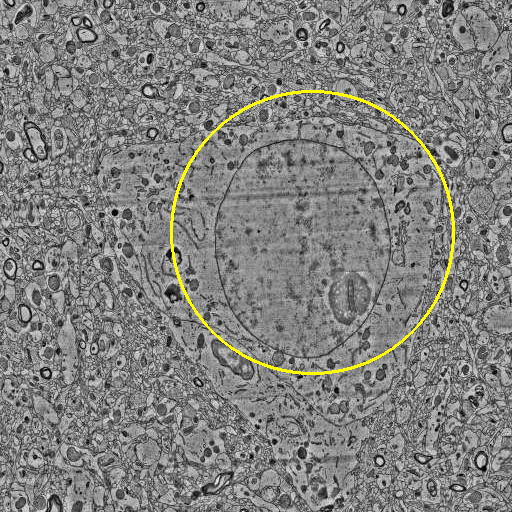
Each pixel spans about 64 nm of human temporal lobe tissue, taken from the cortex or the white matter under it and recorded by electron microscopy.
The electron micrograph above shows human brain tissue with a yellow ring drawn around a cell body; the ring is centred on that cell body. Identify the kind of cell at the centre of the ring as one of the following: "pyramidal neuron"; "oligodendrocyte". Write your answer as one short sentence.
The cell at the centre of the ring is a pyramidal neuron.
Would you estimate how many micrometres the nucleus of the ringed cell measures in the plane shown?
About 14 micrometres by about 11 micrometres in this plane.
